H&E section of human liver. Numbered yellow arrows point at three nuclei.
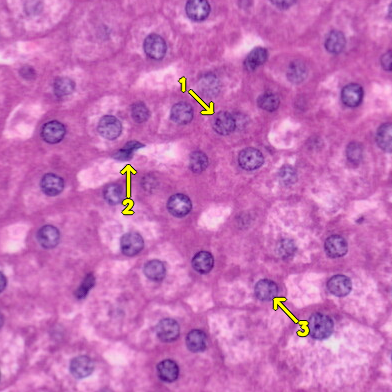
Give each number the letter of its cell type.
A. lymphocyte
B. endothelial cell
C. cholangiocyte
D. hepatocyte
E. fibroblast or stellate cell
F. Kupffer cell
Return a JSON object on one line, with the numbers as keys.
{"1": "D", "2": "B", "3": "D"}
